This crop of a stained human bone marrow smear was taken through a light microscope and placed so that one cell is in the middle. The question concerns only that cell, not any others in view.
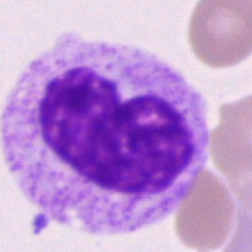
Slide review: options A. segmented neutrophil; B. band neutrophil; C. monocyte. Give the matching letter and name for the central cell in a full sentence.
Here the right option is B, as the cell in the middle is a band neutrophil.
